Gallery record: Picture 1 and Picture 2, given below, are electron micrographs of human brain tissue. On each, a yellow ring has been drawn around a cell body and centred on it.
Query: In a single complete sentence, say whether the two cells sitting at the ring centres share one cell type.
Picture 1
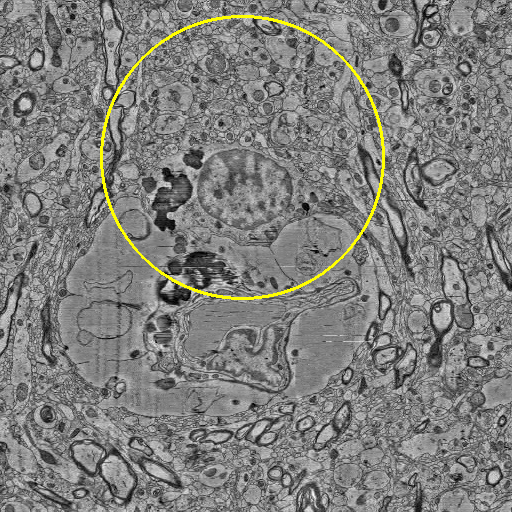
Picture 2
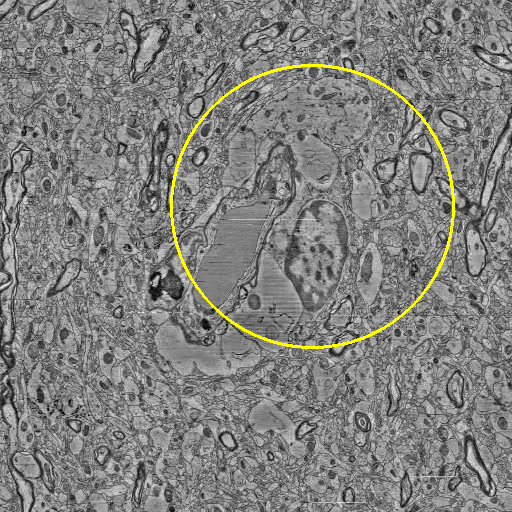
No, in the two pictures the cells at the rings' centres are of two separate types.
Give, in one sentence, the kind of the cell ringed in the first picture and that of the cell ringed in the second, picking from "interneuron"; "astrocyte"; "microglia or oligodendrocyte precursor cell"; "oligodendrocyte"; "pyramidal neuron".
For the first picture it is an oligodendrocyte; for the second, a microglial cell or oligodendrocyte precursor cell.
